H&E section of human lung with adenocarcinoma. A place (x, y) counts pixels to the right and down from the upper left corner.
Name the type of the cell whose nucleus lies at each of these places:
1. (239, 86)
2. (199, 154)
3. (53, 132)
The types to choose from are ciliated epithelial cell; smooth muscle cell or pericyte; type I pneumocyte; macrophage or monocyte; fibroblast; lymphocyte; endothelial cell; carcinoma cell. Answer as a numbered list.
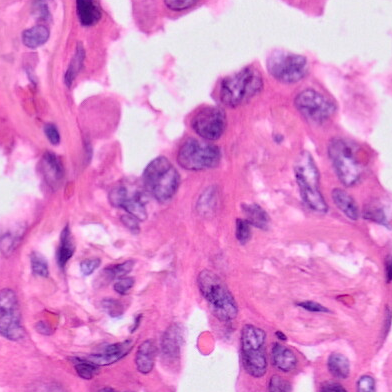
1. carcinoma cell
2. carcinoma cell
3. lymphocyte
